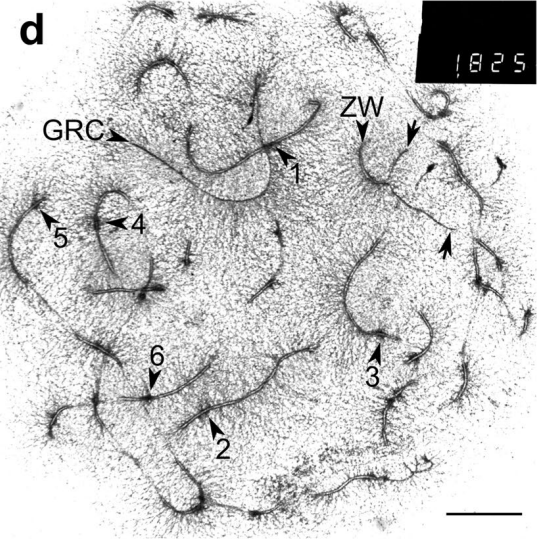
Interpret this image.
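The axes vary greatly in length, from long looping threads to short stubs with dense, dark ends. One long thread separates into two strands toward its end, where the partners are no longer paired.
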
